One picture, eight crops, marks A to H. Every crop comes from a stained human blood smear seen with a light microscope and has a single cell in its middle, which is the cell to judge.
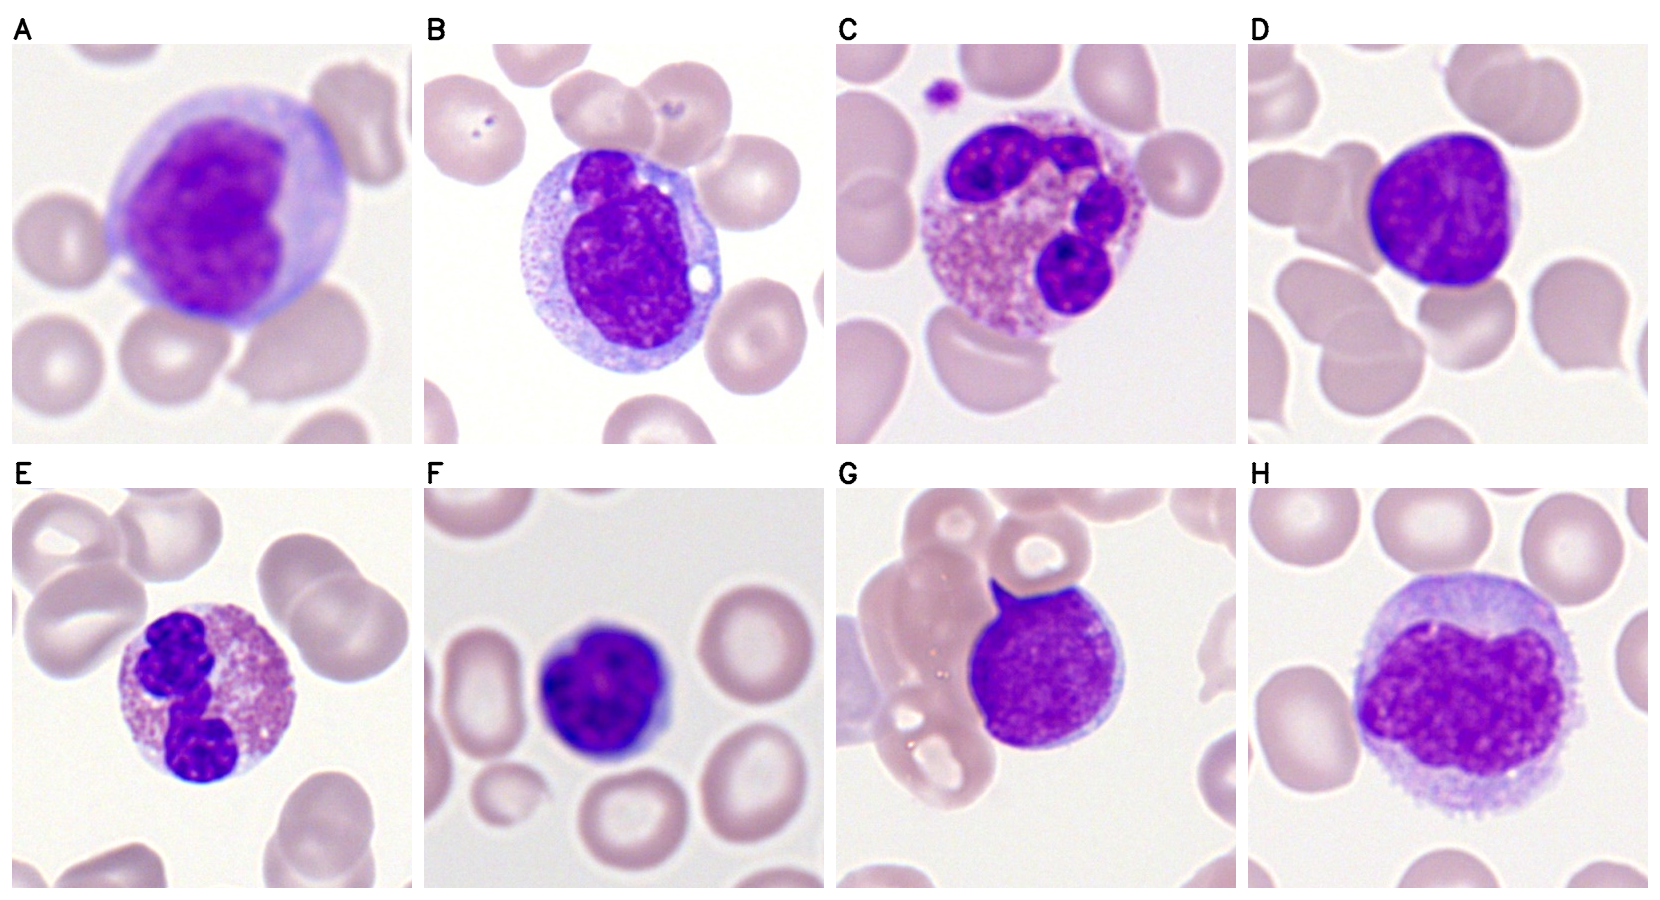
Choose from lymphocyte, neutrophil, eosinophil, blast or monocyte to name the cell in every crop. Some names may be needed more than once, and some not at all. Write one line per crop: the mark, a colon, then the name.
A: monocyte
B: monocyte
C: eosinophil
D: blast
E: eosinophil
F: lymphocyte
G: blast
H: monocyte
